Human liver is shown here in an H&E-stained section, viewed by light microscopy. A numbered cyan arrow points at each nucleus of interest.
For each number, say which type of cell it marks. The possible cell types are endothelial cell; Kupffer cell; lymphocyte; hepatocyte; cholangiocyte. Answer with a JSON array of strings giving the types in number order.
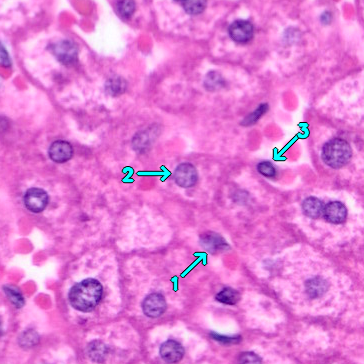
["endothelial cell", "hepatocyte", "Kupffer cell"]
